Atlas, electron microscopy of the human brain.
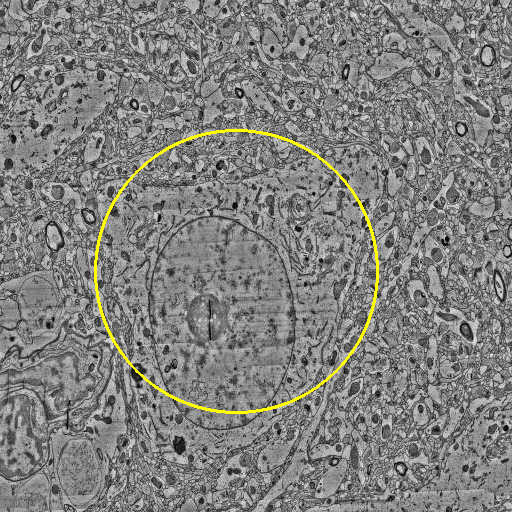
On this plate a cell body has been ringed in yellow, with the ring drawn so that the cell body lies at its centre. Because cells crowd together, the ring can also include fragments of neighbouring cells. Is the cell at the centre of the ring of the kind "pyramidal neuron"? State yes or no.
Yes, it is of that kind.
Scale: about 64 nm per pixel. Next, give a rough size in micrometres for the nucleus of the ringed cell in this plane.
Roughly 14 micrometres by 9 micrometres, in this plane.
